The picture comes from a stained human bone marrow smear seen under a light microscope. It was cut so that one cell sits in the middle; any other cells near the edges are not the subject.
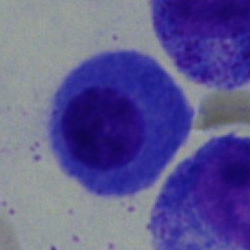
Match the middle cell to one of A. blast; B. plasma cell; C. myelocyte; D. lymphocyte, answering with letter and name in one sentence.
The cell centred in the crop is a plasma cell, and the correct option is thus B.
